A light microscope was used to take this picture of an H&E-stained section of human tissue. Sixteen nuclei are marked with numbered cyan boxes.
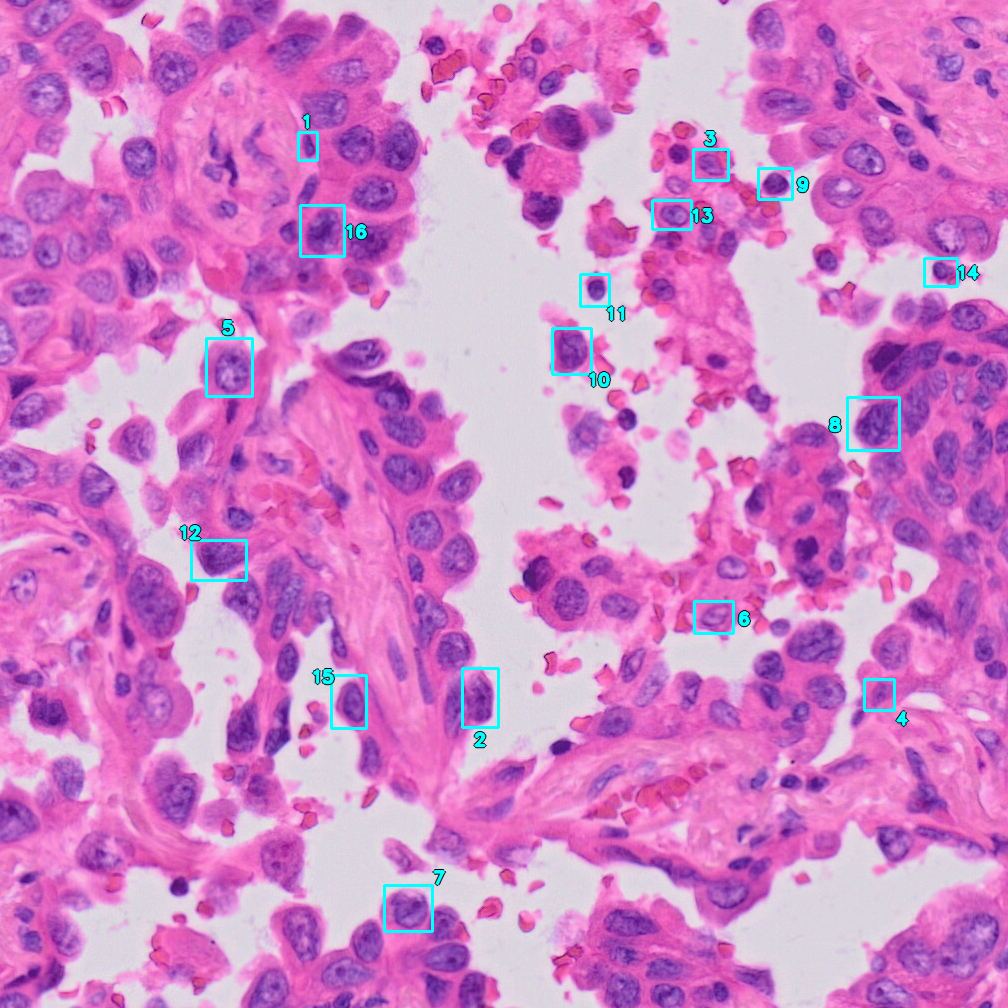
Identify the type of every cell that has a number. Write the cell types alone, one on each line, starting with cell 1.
lymphocyte
carcinoma cell
macrophage or monocyte
carcinoma cell
carcinoma cell
macrophage or monocyte
carcinoma cell
carcinoma cell
lymphocyte
carcinoma cell
lymphocyte
carcinoma cell
macrophage or monocyte
lymphocyte
carcinoma cell
carcinoma cell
